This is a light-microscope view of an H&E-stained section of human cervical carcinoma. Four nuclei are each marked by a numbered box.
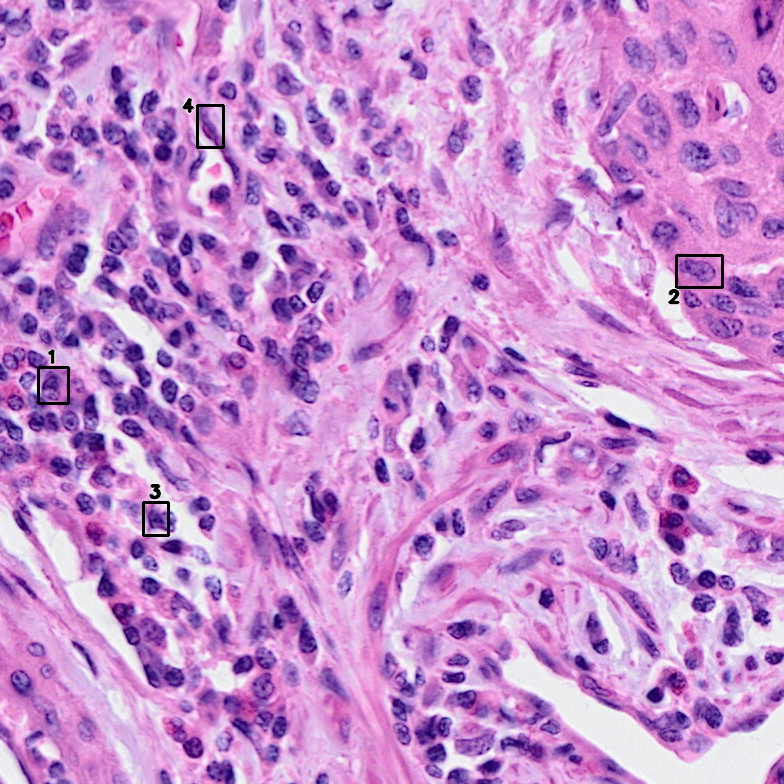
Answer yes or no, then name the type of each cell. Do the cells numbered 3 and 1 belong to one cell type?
Yes, regarding cells 3 and 1, both are lymphocytes.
